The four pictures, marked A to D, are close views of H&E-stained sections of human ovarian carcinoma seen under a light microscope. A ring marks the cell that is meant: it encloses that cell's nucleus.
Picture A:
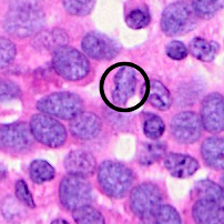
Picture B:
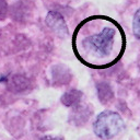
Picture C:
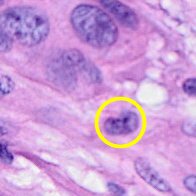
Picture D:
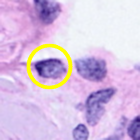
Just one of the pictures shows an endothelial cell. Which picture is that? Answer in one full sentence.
Picture D shows the endothelial cell.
